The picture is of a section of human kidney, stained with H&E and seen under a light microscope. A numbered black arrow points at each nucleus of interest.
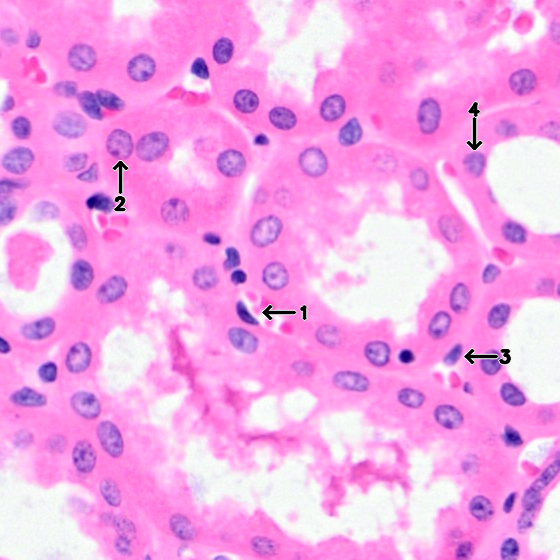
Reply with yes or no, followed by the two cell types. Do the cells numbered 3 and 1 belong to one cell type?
Yes, among the marked cells, numbers 3 and 1 are both endothelial cells.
